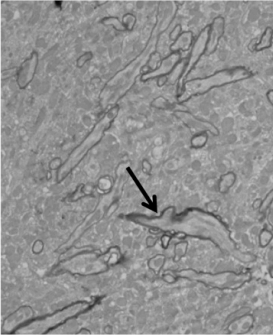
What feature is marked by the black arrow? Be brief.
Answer: Myelinated axons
